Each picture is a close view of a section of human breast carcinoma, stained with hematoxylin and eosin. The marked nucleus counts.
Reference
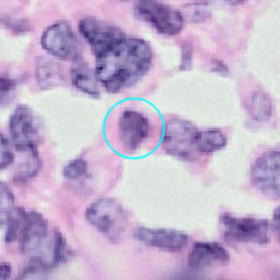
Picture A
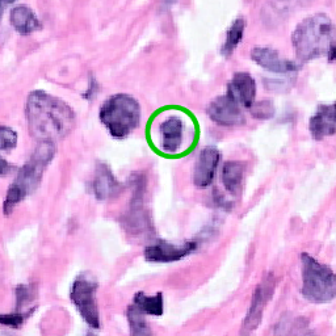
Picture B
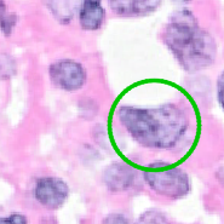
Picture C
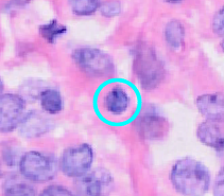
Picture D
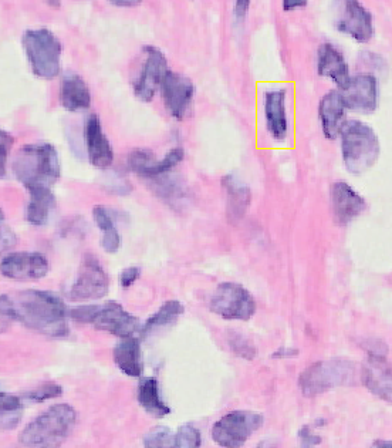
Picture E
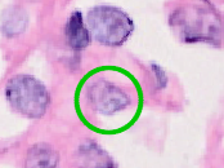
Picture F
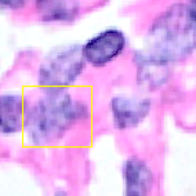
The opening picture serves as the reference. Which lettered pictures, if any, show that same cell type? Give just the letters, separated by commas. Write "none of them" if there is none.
B, E, F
